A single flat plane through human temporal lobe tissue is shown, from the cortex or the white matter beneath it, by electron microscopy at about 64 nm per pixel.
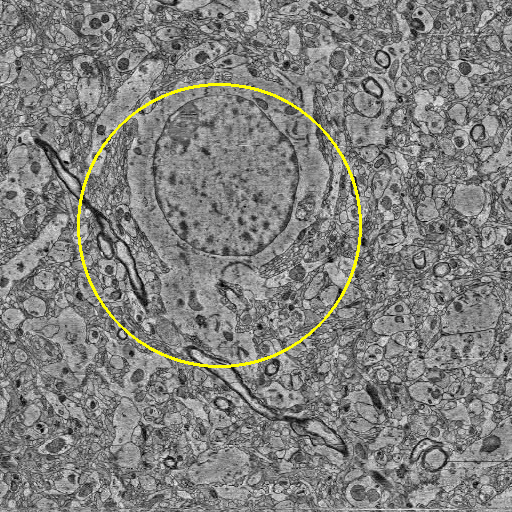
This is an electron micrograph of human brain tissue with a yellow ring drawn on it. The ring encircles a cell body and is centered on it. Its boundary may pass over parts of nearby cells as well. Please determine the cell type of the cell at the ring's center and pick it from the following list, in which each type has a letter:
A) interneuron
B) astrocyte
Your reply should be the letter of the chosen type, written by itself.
B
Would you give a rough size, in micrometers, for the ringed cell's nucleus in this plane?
Approximately 11 micrometres long and 9 micrometres wide, in this plane.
